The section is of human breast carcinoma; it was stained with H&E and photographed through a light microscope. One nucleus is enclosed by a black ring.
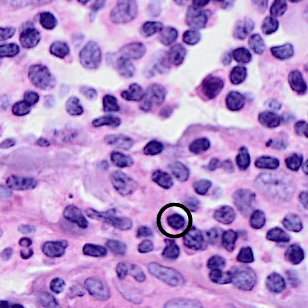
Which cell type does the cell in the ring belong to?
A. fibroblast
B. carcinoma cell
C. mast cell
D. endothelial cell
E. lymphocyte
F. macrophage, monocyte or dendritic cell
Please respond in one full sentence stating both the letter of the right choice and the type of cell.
Option E, which has the cell in the ring as a lymphocyte, is the correct choice.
